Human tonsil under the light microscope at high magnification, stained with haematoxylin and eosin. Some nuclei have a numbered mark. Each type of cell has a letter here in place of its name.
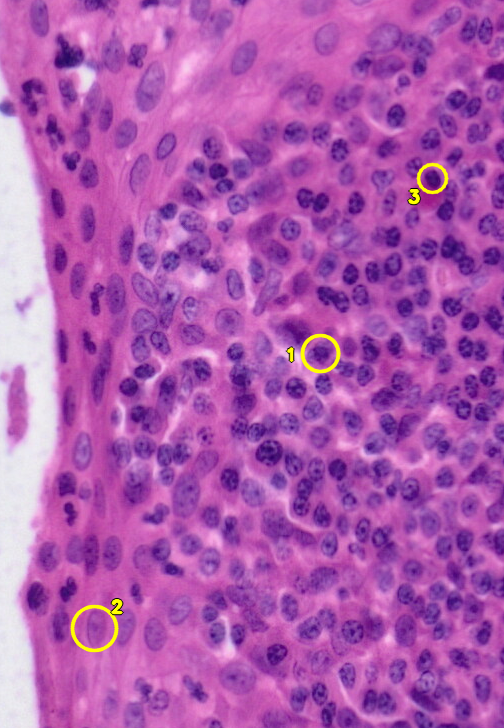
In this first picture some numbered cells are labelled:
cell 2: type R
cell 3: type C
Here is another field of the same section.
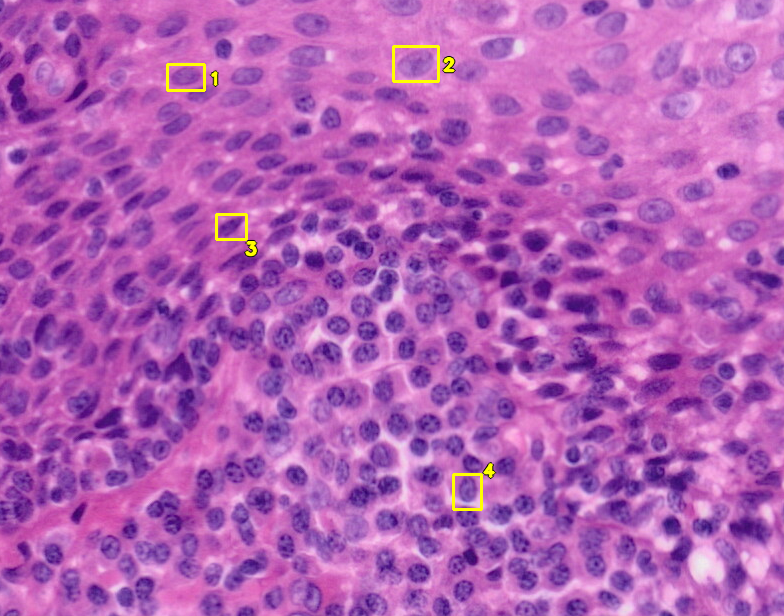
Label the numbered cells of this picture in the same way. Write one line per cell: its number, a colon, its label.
1: type R
2: type R
3: type R
4: type C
